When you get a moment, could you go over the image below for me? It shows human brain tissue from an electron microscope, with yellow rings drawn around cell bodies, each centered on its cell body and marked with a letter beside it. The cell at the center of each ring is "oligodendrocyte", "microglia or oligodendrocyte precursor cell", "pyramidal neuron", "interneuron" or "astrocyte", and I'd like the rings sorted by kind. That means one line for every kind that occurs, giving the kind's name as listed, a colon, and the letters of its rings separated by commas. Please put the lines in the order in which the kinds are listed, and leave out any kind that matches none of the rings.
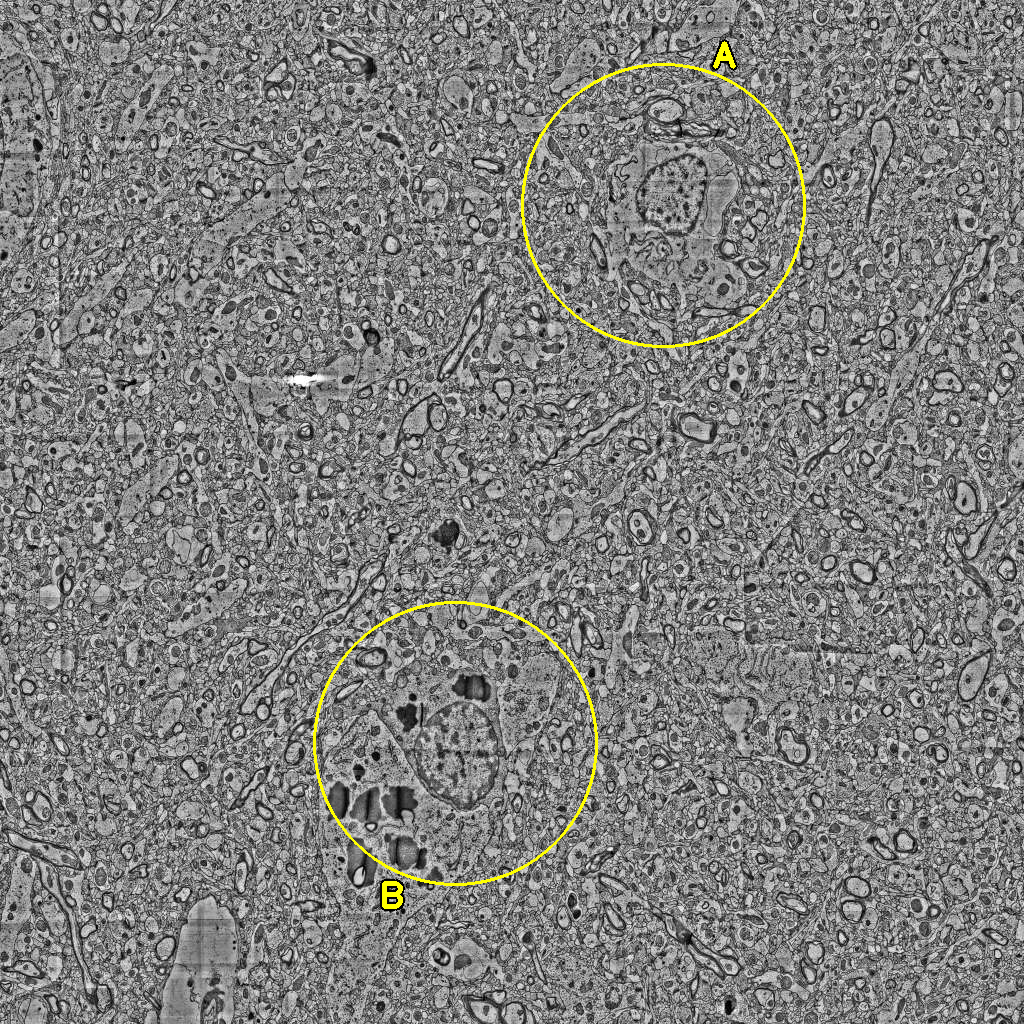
oligodendrocyte: B
astrocyte: A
